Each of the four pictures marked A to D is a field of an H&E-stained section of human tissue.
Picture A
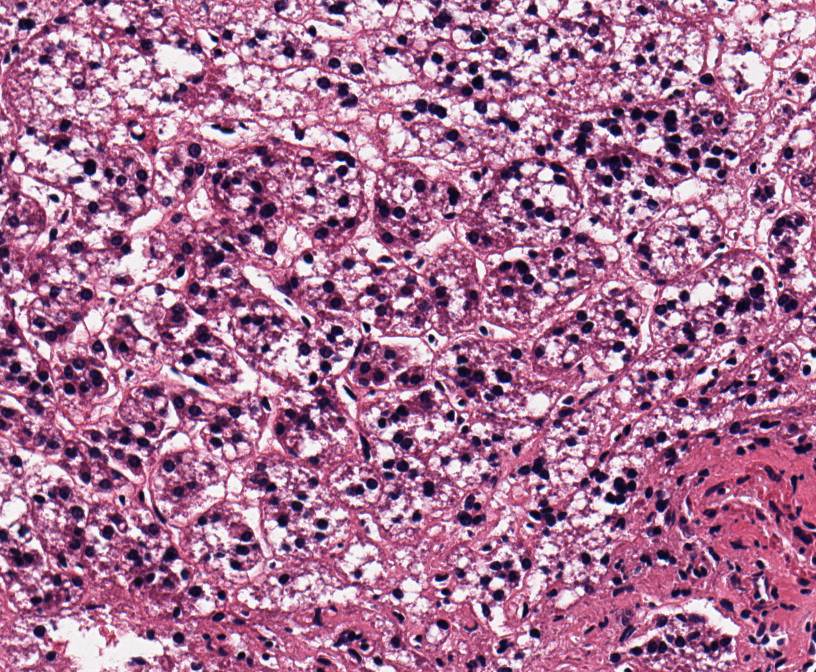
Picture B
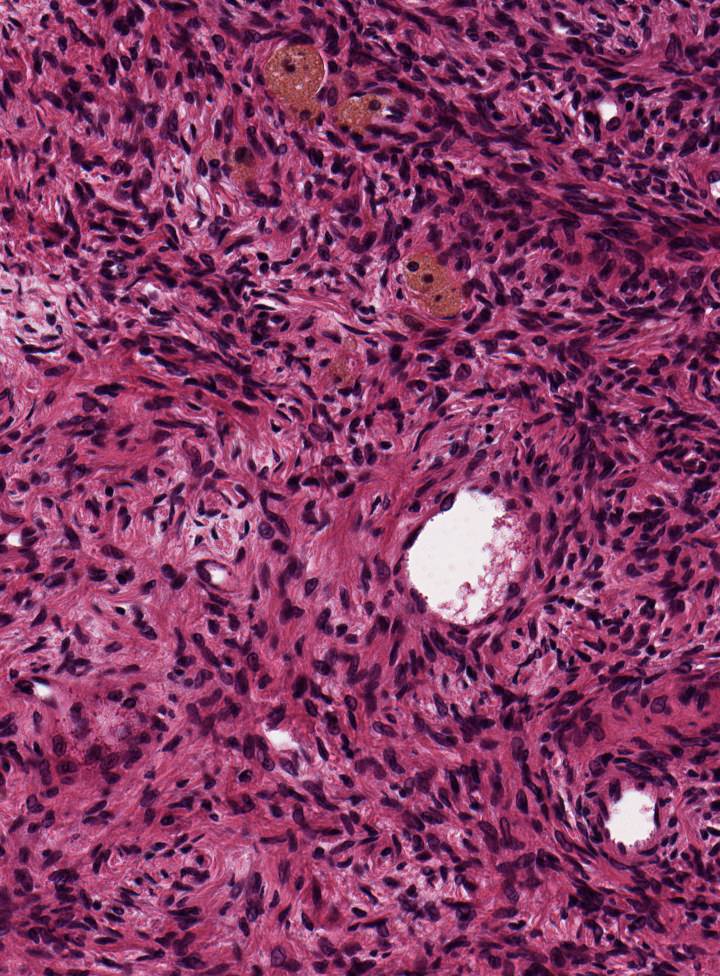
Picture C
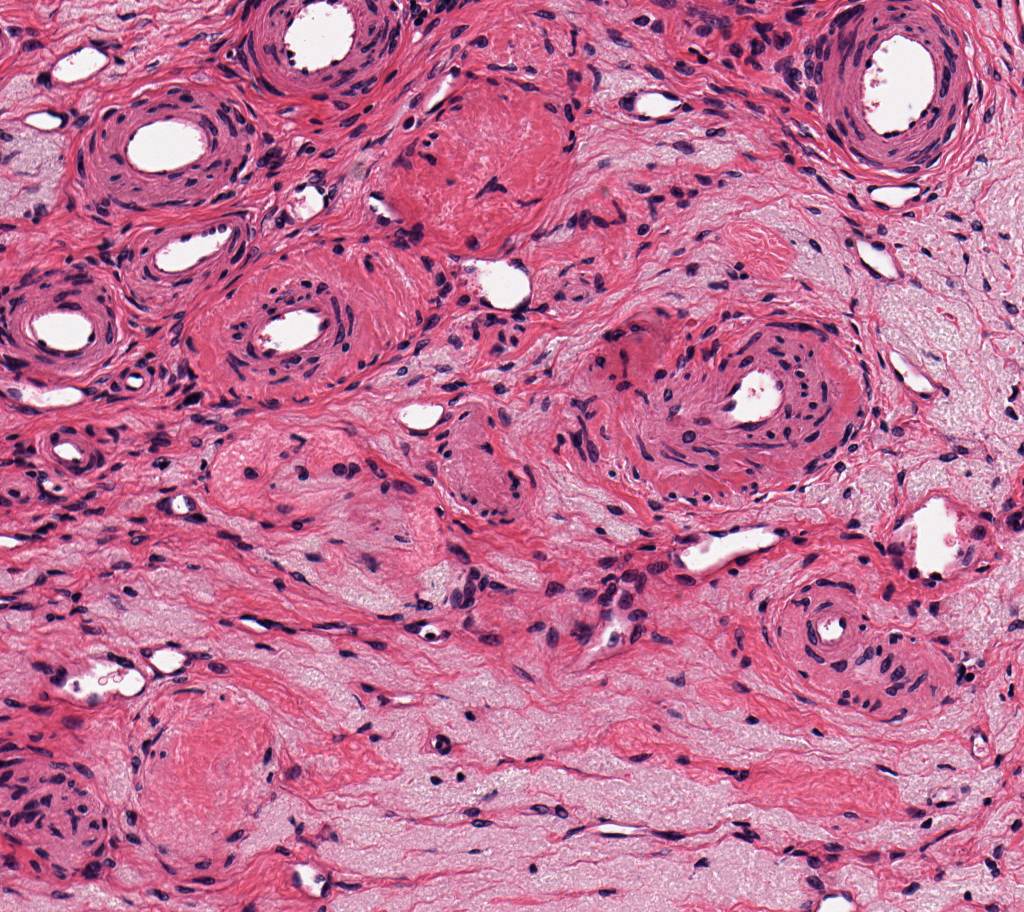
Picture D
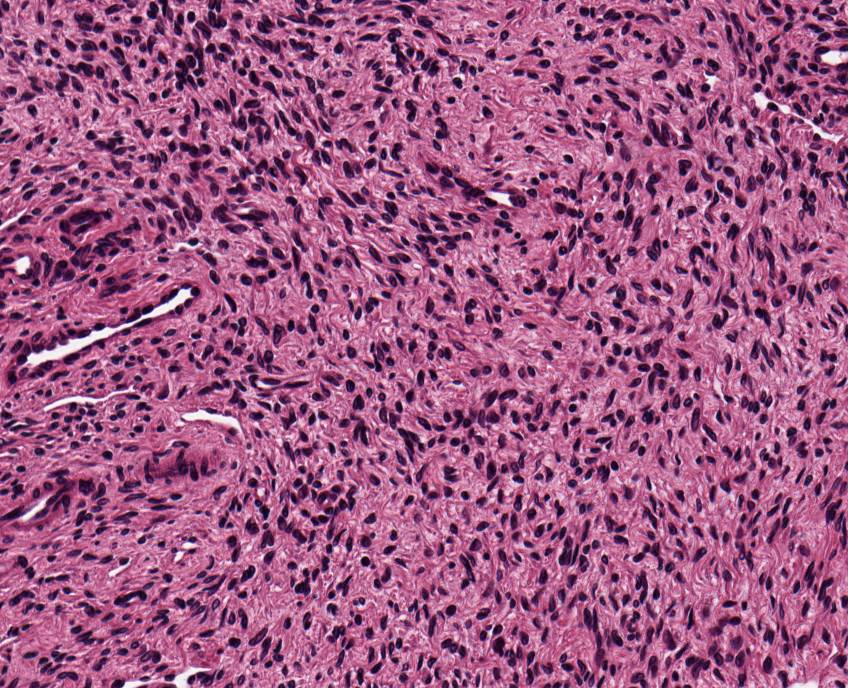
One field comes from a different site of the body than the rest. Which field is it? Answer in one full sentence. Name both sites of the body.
Picture A is the odd one out: it comes from the adrenal gland, while the others come from the ovary.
